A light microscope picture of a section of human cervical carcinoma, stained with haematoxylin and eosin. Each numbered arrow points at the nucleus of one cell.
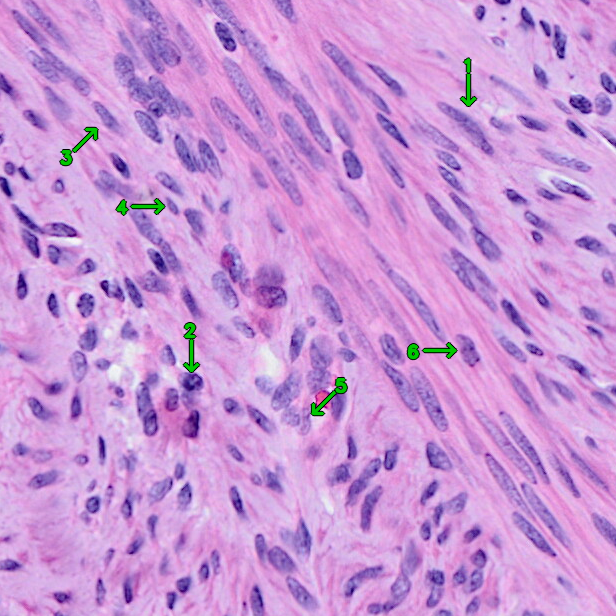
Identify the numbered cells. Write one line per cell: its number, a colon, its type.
1: smooth muscle cell
2: lymphocyte
3: smooth muscle cell
4: smooth muscle cell
5: endothelial cell
6: smooth muscle cell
